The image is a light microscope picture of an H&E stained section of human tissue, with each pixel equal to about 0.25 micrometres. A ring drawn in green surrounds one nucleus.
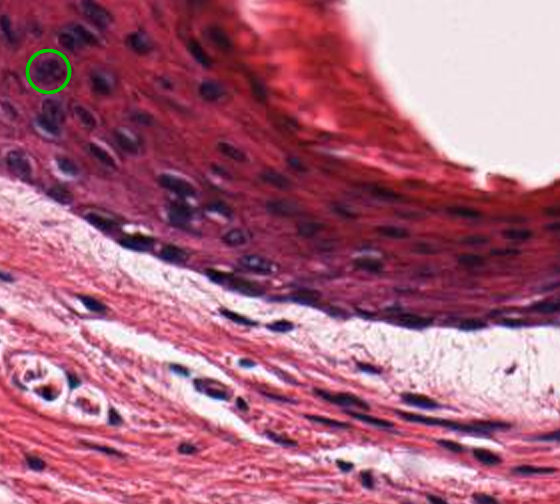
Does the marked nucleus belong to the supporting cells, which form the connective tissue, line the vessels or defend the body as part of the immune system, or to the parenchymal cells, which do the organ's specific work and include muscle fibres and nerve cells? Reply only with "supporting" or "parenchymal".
parenchymal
